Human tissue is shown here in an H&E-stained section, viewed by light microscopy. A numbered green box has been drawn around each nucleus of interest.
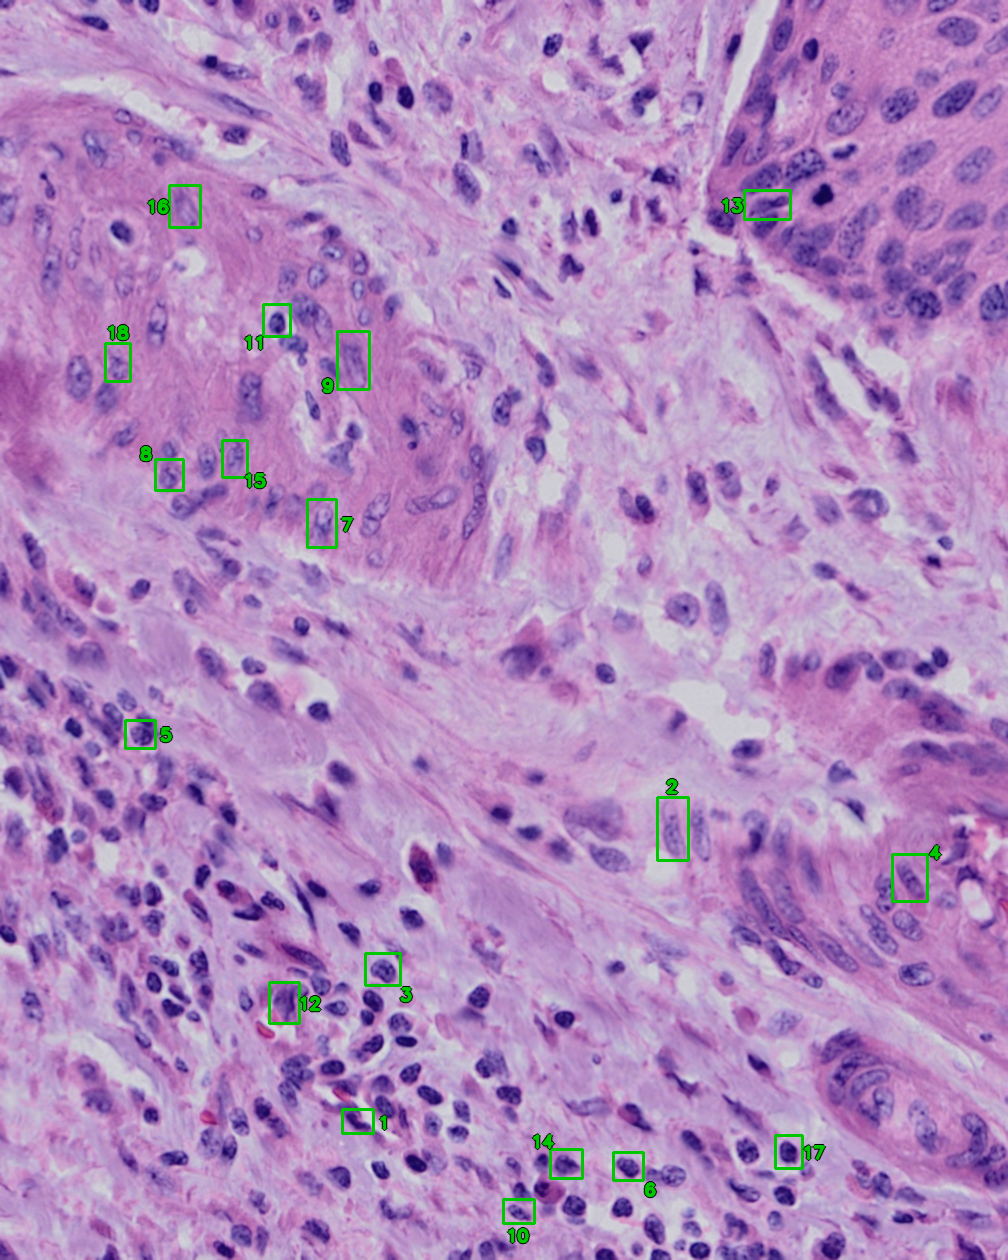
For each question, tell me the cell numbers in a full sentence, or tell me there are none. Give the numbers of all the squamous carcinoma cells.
Cell 13 is a squamous carcinoma cell, while all remaining marked cells are of other types.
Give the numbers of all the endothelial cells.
In this section, the cells labelled 1 and 12 are endothelial cells.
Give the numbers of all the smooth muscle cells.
The cells carrying labels 2, 4, 7, 8, 9, 15, 16 and 18 are smooth muscle cells.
